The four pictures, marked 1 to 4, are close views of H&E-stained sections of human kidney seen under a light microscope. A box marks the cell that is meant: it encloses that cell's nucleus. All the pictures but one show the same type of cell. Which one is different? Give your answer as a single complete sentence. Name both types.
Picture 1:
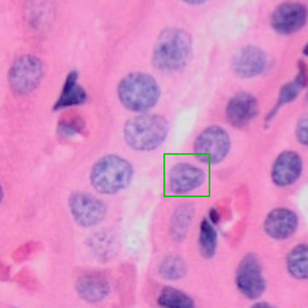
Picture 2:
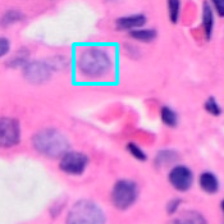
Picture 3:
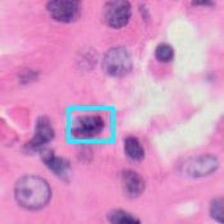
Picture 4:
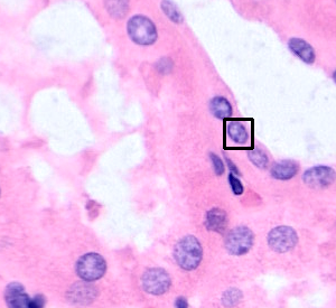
The others show collecting duct cells, but picture 3 shows a “loop of Henle or distal tubule cell”.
